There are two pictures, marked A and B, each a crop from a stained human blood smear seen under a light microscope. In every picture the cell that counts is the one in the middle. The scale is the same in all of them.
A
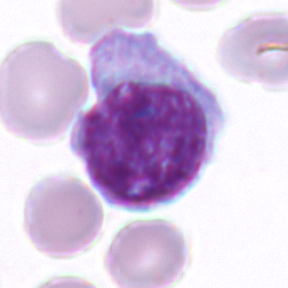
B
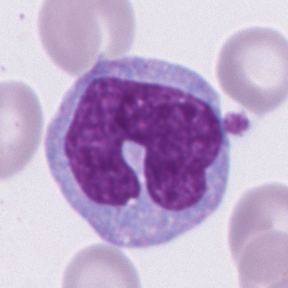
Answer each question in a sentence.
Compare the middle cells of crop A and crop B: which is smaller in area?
It is the cell in crop A; the cell in crop B has about 1.5 times its area.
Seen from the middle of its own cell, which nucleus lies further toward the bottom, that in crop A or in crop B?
It is the nucleus in crop A that lies further toward the bottom of its cell.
